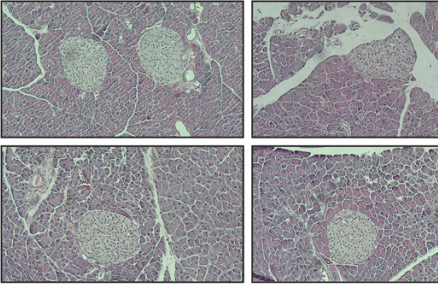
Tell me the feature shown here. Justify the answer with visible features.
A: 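Islet. Rounded, paler cell clusters sit within the darker surrounding tissue. The pale clusters are sharply bounded from the surrounding densely packed tissue.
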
